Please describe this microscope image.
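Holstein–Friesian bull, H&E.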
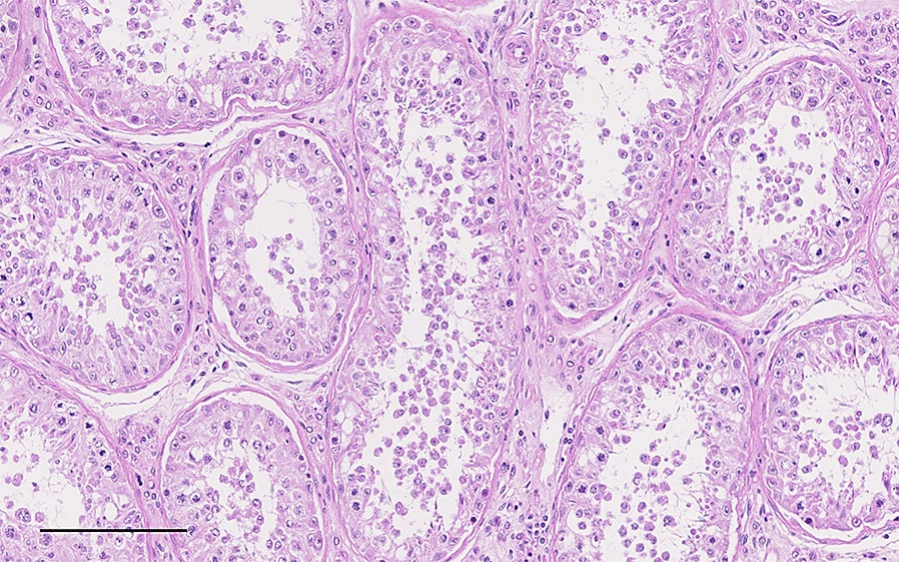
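Many germ cells have come loose and lie scattered in the wide, pale lumens, most strikingly in the long central tubule. No spermatozoa or elongated spermatids with tails are seen, and the lumens look vacuolated and disorganised.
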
